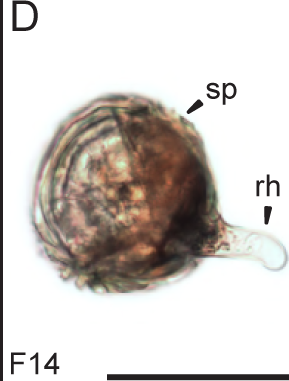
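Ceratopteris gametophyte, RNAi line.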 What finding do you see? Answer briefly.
No thallus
